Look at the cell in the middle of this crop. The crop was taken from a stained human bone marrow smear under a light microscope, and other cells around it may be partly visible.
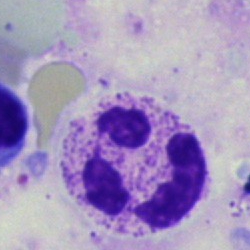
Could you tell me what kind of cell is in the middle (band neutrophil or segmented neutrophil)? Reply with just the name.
segmented neutrophil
